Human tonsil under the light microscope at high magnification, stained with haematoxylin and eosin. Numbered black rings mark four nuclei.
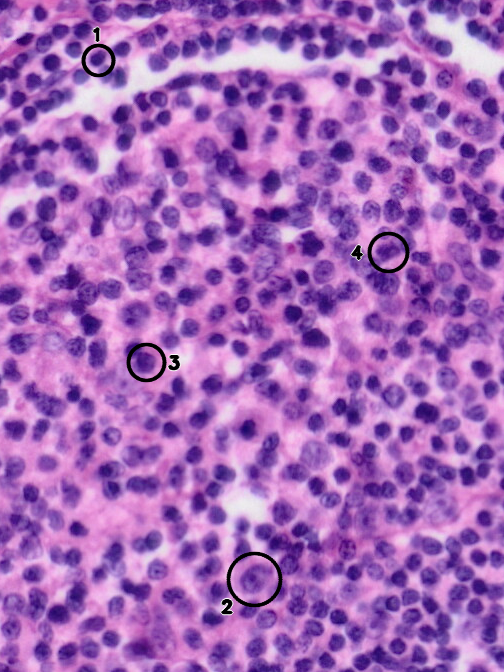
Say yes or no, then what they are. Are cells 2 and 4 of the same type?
Yes, both are proliferating B cells.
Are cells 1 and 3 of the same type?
No, cell 1 is a small lymphocyte and cell 3 is a proliferating B cell.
